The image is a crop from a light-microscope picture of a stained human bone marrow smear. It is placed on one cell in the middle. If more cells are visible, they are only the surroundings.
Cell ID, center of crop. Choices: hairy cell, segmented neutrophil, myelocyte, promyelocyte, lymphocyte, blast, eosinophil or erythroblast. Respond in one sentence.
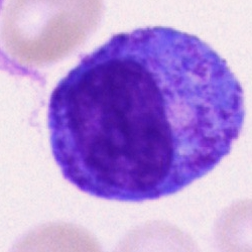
The middle of this crop is occupied by a promyelocyte.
